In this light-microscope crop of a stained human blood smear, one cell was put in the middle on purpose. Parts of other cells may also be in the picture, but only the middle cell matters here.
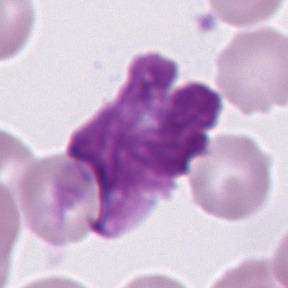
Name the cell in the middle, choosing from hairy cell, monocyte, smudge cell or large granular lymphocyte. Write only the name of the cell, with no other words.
smudge cell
